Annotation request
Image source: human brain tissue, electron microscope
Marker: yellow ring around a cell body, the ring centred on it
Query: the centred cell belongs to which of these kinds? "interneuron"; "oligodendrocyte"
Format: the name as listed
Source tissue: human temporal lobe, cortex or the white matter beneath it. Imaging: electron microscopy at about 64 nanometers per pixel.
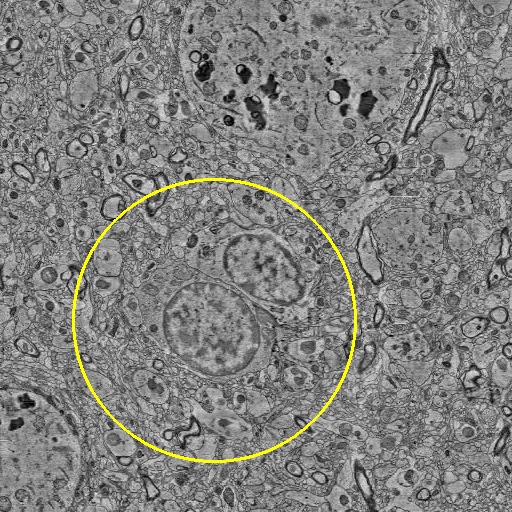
oligodendrocyte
